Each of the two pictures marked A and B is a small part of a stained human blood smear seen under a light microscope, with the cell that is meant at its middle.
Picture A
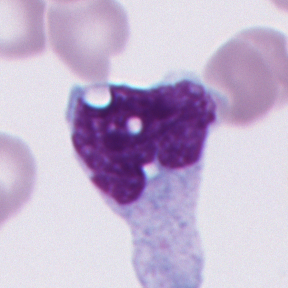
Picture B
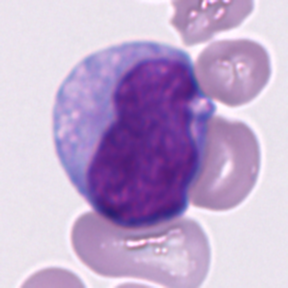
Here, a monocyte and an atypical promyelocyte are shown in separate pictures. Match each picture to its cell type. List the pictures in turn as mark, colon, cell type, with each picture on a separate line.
A: monocyte
B: atypical promyelocyte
